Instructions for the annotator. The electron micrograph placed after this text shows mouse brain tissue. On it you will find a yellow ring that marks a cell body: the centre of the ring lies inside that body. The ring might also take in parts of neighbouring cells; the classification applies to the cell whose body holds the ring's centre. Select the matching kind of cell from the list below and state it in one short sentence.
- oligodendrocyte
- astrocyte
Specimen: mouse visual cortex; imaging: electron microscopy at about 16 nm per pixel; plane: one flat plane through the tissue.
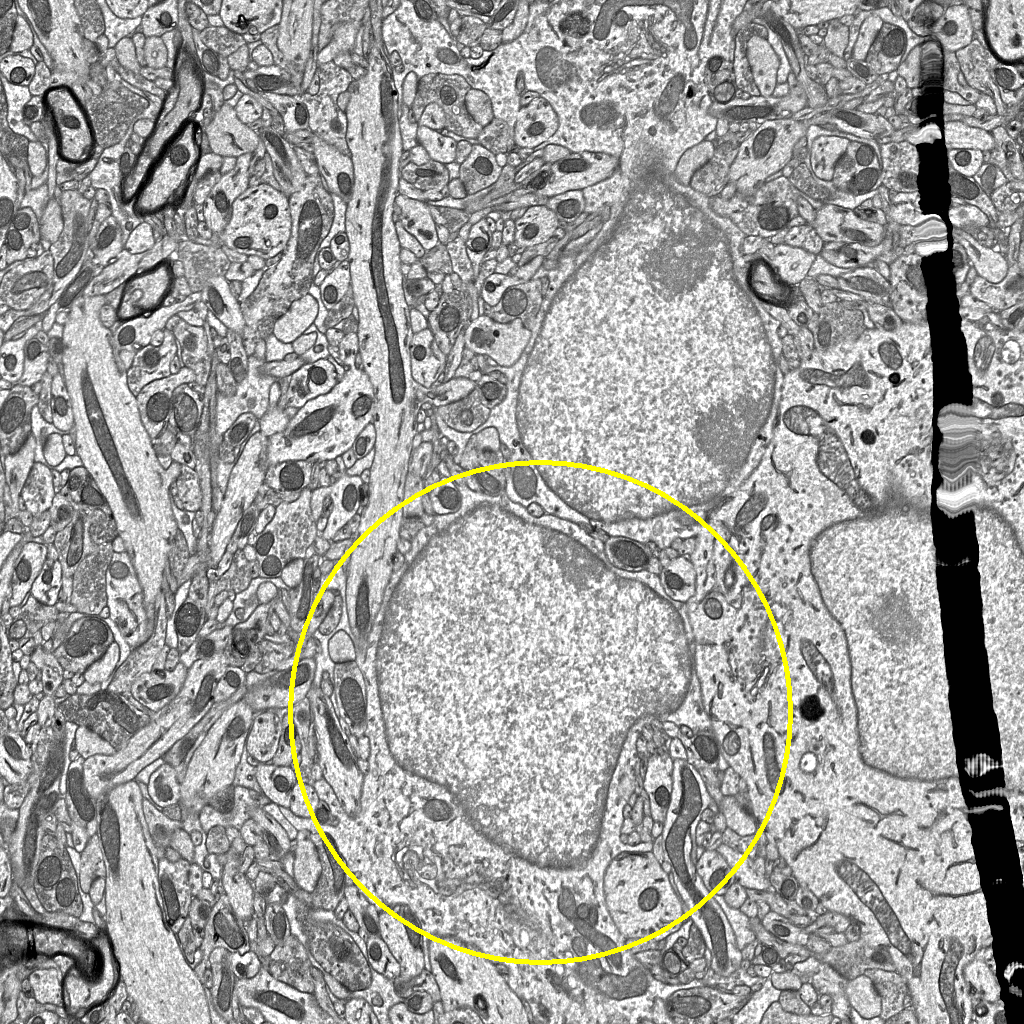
The centre of the ring lies in the cell body of an astrocyte.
